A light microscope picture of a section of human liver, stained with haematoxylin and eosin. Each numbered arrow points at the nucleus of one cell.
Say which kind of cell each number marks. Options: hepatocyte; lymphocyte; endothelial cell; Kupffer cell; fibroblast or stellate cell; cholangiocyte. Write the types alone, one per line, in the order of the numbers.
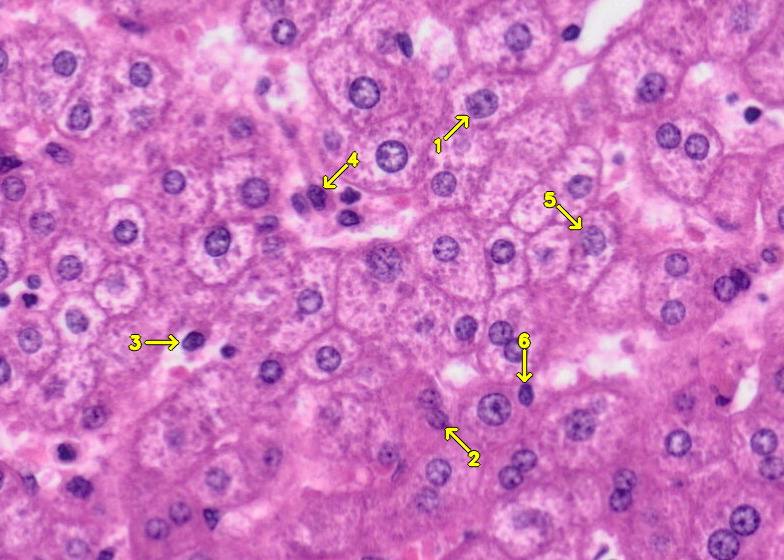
hepatocyte
hepatocyte
Kupffer cell
Kupffer cell
hepatocyte
fibroblast or stellate cell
